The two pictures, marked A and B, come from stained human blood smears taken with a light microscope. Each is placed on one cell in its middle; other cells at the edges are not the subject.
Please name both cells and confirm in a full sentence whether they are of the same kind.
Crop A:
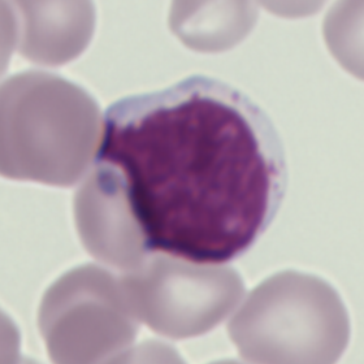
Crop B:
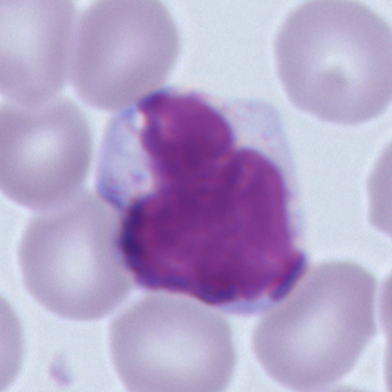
Yes, large granular lymphocytes are seen in both crops.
